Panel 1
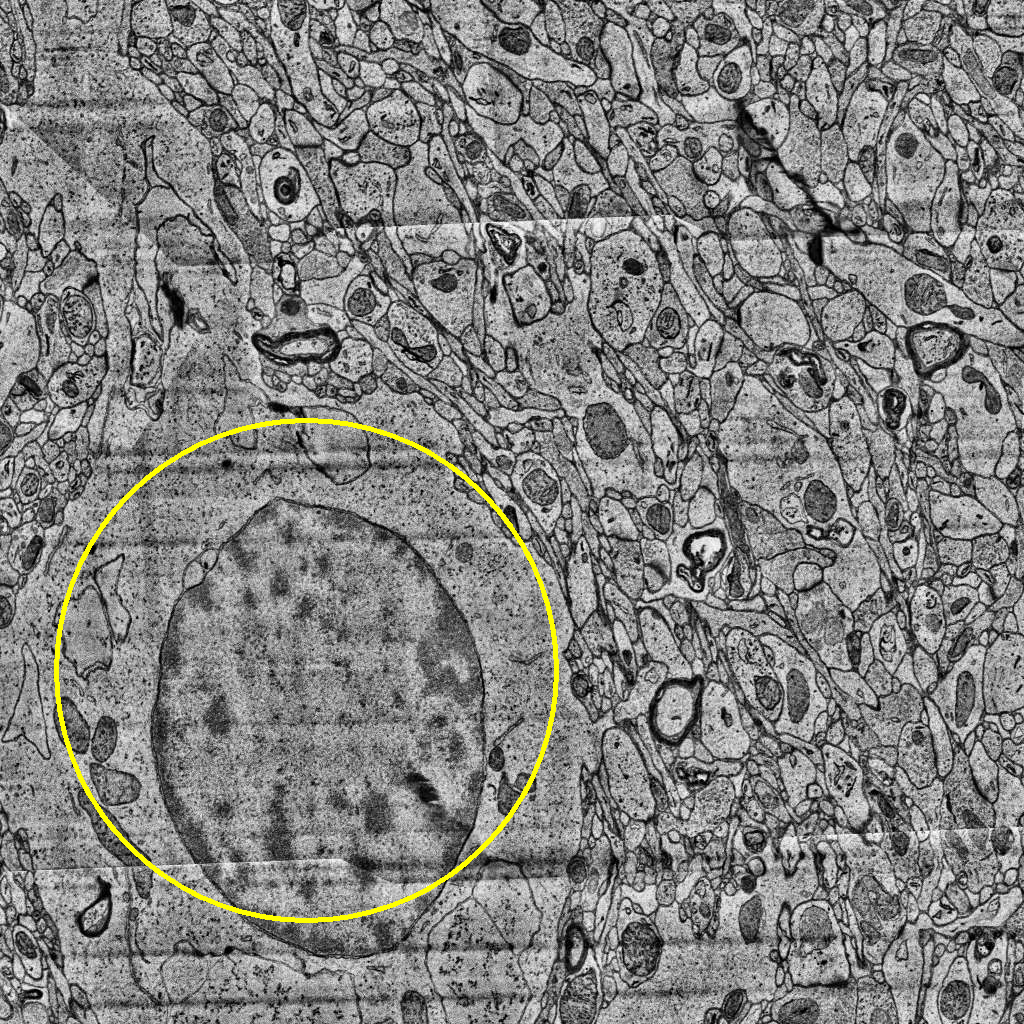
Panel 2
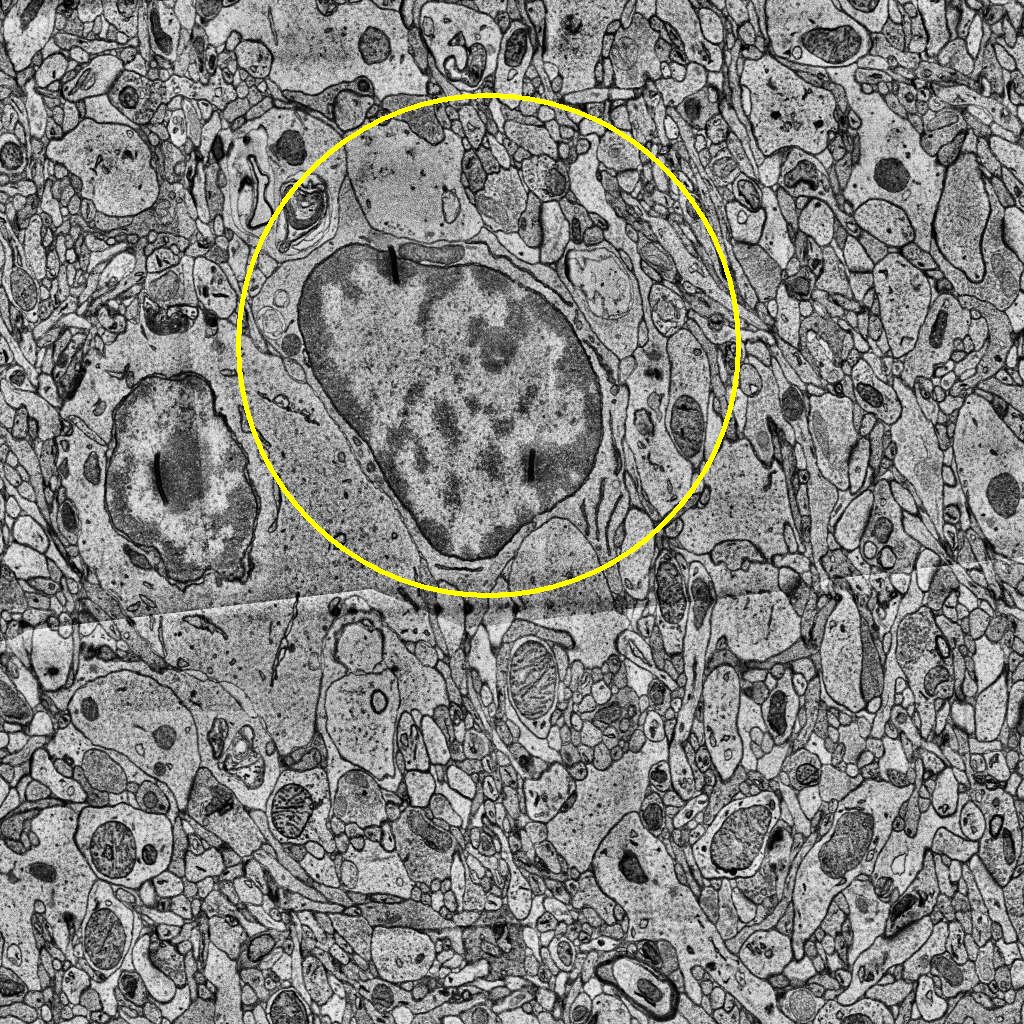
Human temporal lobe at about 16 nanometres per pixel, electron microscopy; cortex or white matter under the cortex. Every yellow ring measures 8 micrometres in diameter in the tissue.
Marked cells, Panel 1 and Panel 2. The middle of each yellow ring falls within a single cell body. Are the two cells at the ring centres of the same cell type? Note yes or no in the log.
no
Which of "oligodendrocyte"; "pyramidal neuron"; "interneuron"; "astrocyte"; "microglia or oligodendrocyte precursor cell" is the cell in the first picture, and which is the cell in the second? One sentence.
The cell in the first picture is an astrocyte; the second picture's cell is a microglial cell or oligodendrocyte precursor cell.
